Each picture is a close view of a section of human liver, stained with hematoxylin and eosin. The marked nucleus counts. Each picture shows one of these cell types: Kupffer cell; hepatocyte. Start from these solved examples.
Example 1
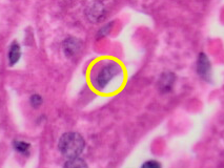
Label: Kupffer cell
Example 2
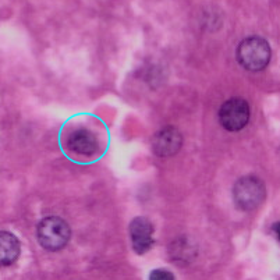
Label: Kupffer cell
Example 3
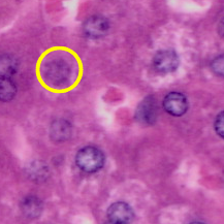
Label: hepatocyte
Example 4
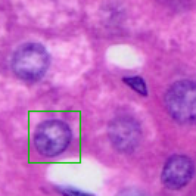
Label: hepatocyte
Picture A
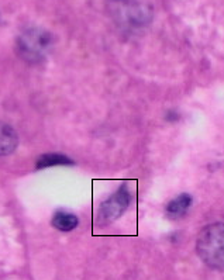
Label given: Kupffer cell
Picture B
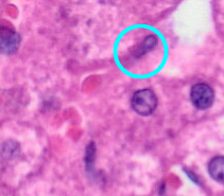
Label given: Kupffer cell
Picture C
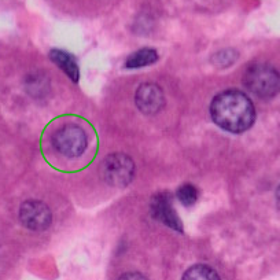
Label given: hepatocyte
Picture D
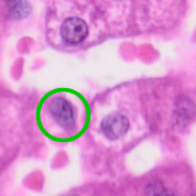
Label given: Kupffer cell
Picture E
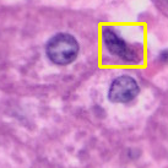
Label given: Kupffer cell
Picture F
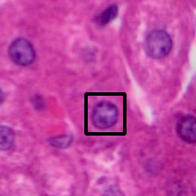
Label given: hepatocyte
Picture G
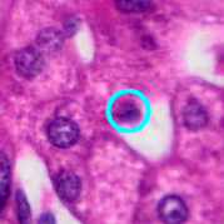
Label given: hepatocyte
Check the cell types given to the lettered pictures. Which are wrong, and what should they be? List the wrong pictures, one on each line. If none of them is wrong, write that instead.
G: not hepatocyte but Kupffer cell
